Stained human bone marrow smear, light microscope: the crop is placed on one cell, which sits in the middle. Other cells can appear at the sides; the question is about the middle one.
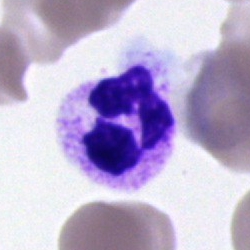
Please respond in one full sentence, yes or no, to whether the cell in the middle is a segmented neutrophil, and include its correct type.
Yes, a segmented neutrophil is present in the middle of the crop.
